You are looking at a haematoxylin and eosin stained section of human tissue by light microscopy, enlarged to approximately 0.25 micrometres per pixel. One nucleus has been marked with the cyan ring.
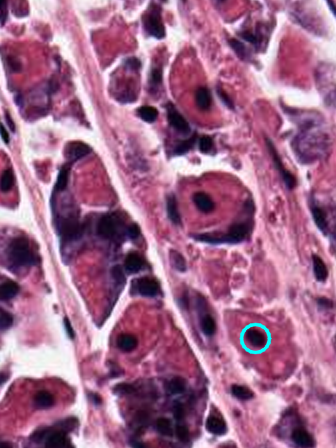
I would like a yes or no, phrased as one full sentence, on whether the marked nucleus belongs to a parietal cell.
Yes, a parietal cell is what the marked nucleus belongs to.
